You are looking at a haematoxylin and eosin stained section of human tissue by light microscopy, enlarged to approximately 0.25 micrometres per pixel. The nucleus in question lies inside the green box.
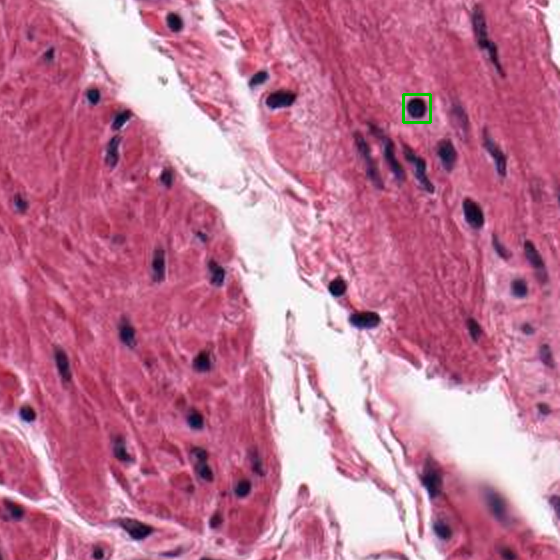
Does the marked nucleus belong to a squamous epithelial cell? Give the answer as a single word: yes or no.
no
